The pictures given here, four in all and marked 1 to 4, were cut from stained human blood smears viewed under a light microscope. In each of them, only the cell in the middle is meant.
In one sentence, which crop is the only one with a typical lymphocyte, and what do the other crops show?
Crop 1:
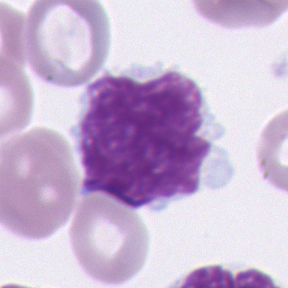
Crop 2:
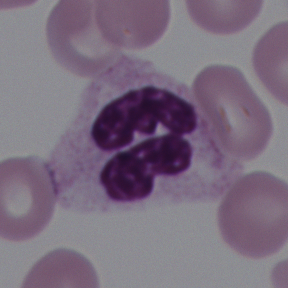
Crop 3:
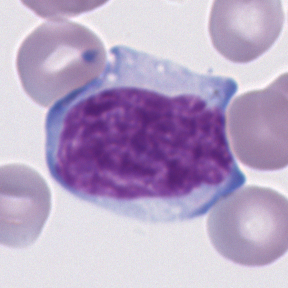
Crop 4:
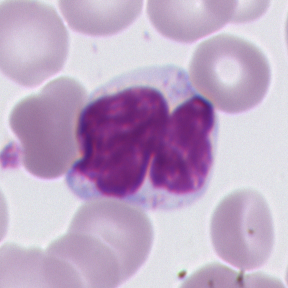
Crop 1 goes down as a typical lymphocyte, while crop 2 is a segmented neutrophil, crop 3 is a myeloblast and crop 4 is a large granular lymphocyte.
